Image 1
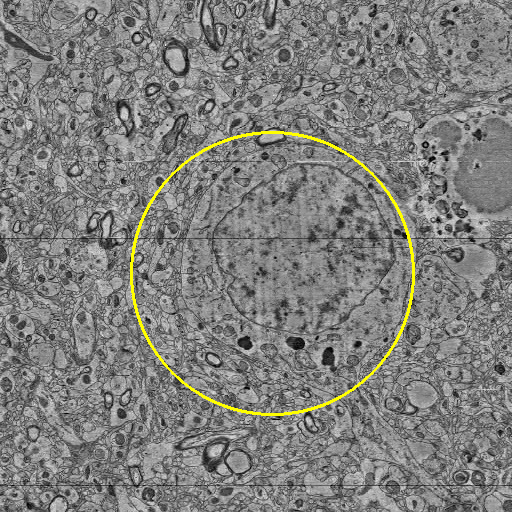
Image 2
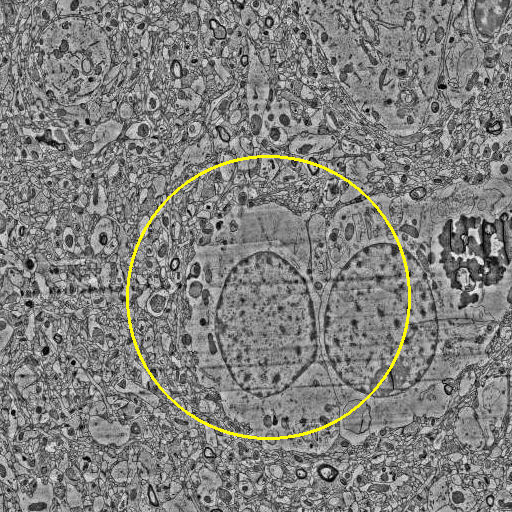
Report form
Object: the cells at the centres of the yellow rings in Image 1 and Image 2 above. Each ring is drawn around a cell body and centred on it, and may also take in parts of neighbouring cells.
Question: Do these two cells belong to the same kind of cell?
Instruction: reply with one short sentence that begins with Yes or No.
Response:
No, they belong to two kinds of cell.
